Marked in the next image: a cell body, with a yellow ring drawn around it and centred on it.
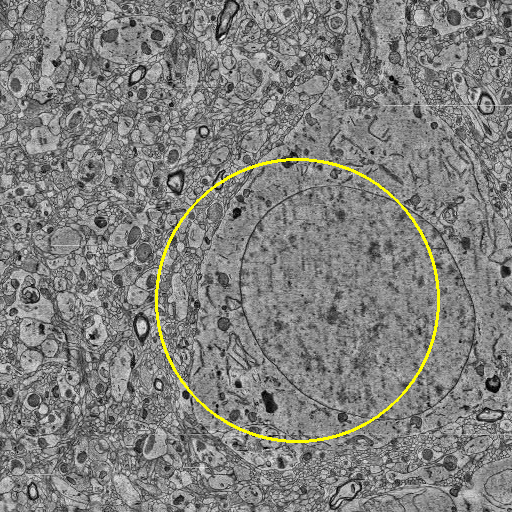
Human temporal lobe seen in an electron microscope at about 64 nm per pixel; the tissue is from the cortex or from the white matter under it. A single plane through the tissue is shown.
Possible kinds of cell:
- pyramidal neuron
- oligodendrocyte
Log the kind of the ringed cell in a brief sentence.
The ringed cell body is that of a pyramidal neuron.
